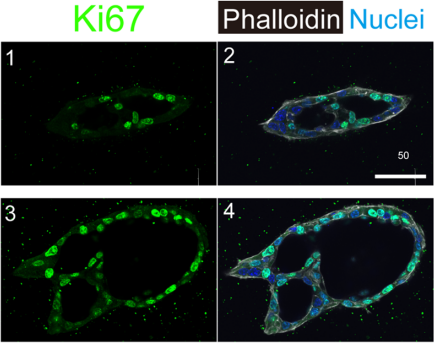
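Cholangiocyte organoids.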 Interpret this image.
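The wall is mostly one cell thick, with nuclei lined up in a single row around the cavity. A fine white outline traces the cell edges and the borders of the wall. In the lower images the cavities are larger and the structure encloses more than one lumen, separated by thin cellular partitions.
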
